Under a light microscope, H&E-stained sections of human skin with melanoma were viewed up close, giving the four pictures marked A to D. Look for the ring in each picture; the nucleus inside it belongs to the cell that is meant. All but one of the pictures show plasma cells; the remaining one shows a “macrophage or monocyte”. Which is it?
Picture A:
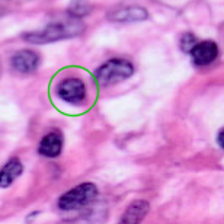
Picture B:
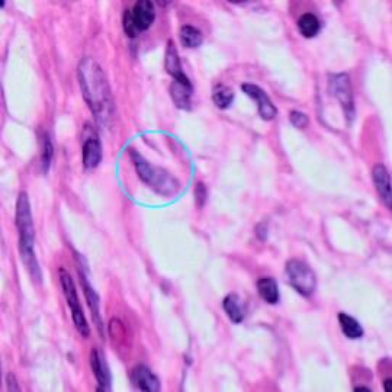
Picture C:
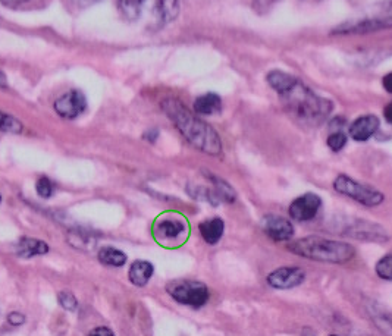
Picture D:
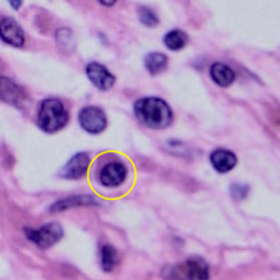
B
